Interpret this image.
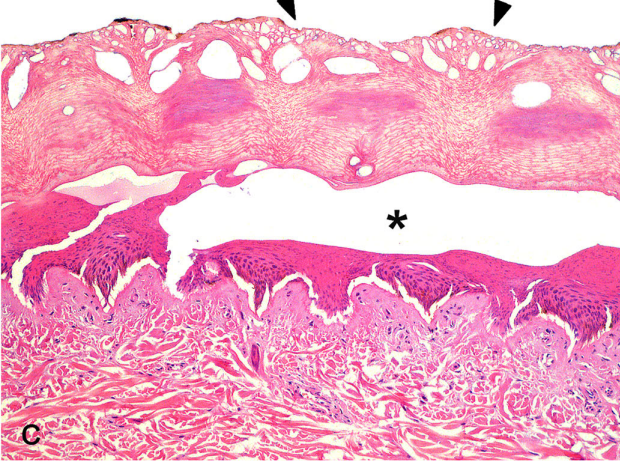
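Skin in which a thick pink upper layer is lifted off the nucleated epidermis by a wide, empty space. The lifted layer contains many rounded clear spaces separated by thin pink walls, giving a honeycomb pattern, with a few purplish bands. Below the gap, the epidermis keeps its purple-nucleated cell layers and undulating junction with the pink, fibrous dermis. This shows a honeycomb change in the upper epidermis and a blister formed just beneath the outermost layer.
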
